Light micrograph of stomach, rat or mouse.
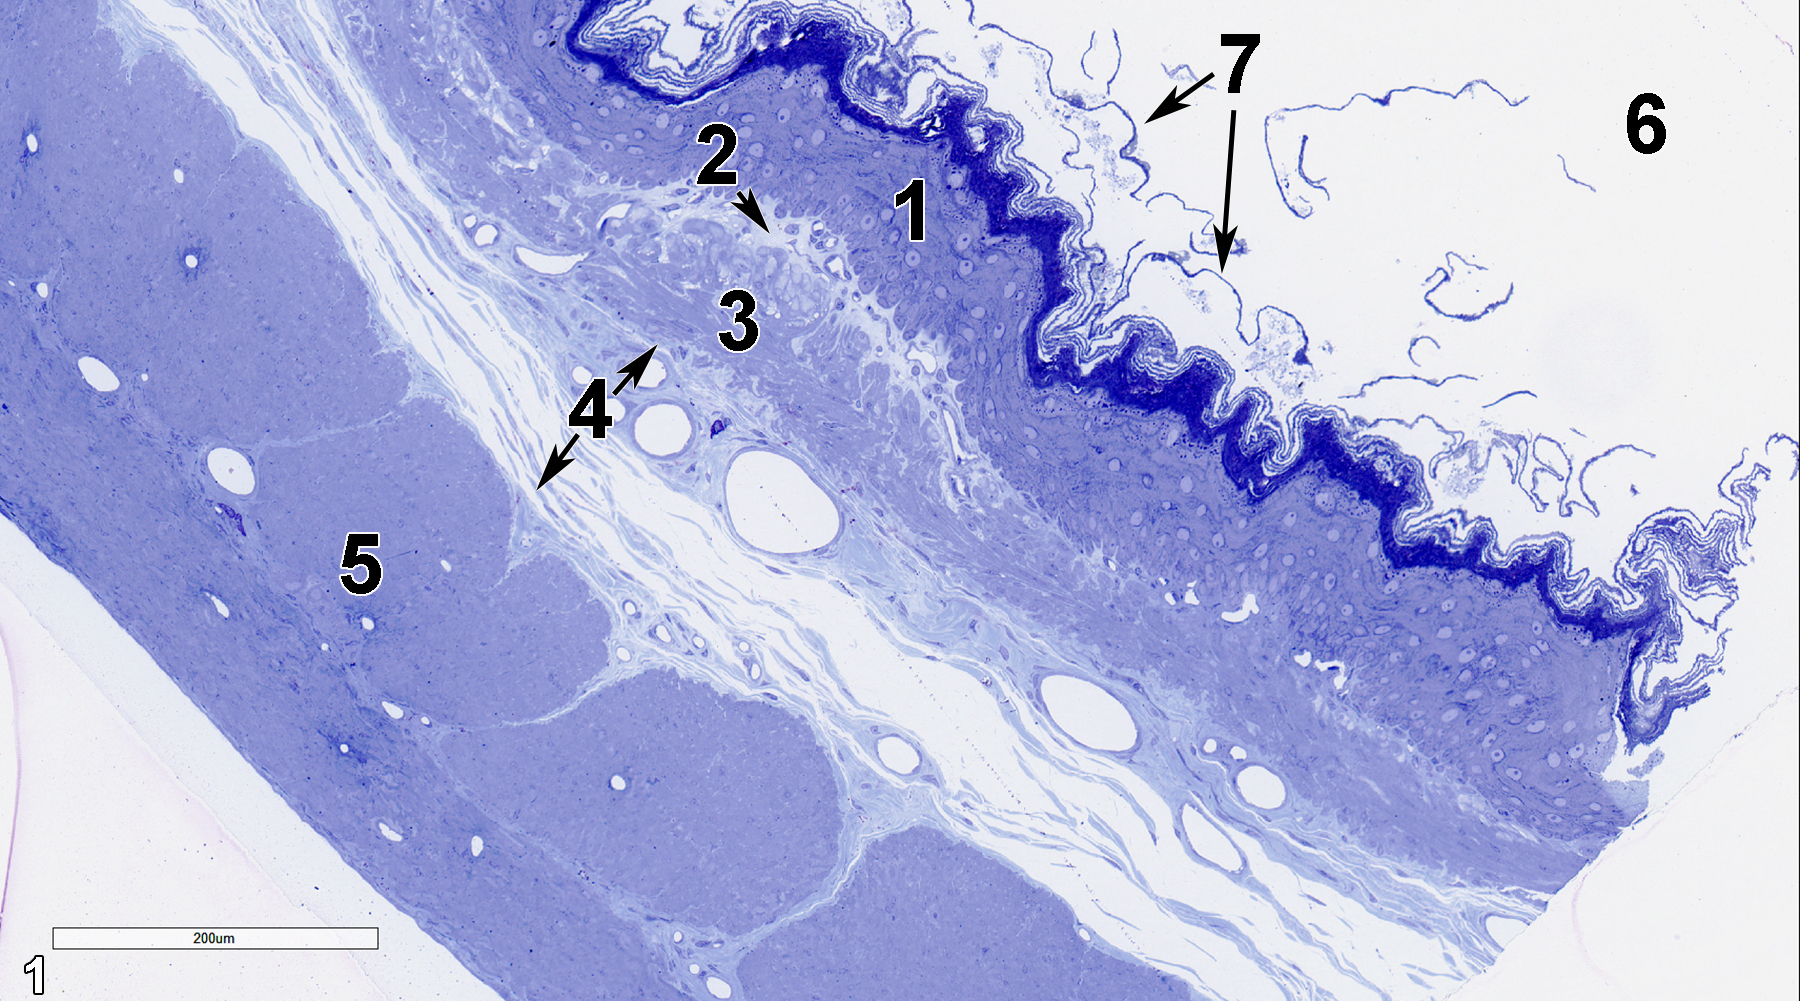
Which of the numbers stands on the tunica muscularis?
The tunica muscularis: 5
